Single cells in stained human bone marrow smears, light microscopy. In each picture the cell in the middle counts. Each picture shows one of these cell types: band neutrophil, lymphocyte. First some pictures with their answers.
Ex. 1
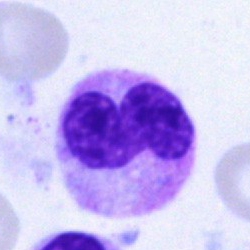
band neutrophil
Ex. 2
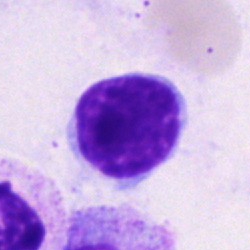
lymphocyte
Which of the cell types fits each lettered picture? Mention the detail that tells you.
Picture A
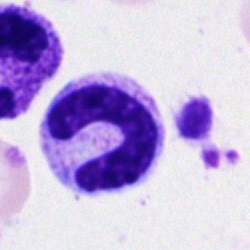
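band neutrophil. The nucleus is a single thick curved band shaped like a horseshoe, with its opening facing left.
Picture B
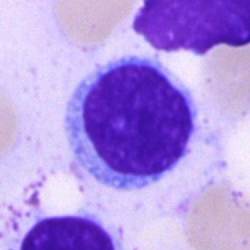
lymphocyte. The cytoplasm forms a narrow rim around the nucleus.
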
